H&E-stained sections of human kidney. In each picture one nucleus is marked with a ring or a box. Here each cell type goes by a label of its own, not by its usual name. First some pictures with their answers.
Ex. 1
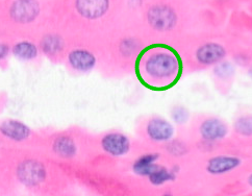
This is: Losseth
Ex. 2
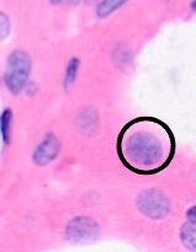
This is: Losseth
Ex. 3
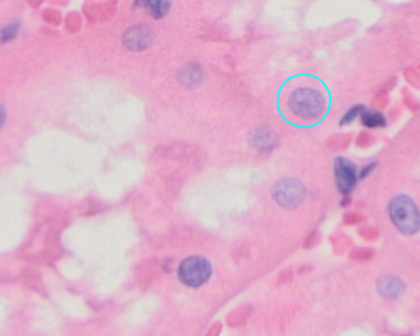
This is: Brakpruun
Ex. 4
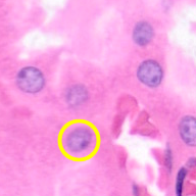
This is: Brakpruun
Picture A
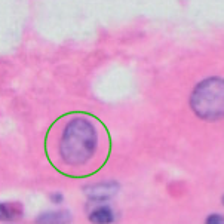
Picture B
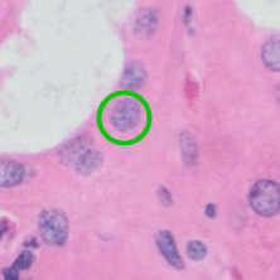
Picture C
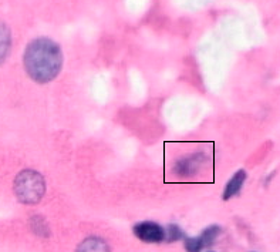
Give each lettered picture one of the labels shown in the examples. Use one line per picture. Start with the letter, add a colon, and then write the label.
A: Brakpruun
B: Losseth
C: Brakpruun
